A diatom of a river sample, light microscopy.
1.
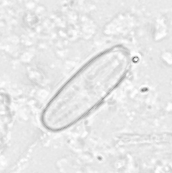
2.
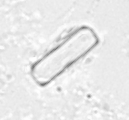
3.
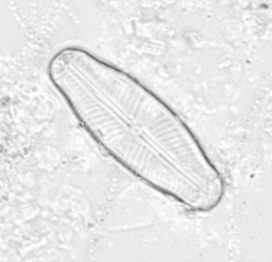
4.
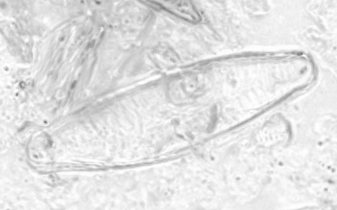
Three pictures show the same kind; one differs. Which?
Picture 4: Gomphonema, while the others are Sellaphora.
